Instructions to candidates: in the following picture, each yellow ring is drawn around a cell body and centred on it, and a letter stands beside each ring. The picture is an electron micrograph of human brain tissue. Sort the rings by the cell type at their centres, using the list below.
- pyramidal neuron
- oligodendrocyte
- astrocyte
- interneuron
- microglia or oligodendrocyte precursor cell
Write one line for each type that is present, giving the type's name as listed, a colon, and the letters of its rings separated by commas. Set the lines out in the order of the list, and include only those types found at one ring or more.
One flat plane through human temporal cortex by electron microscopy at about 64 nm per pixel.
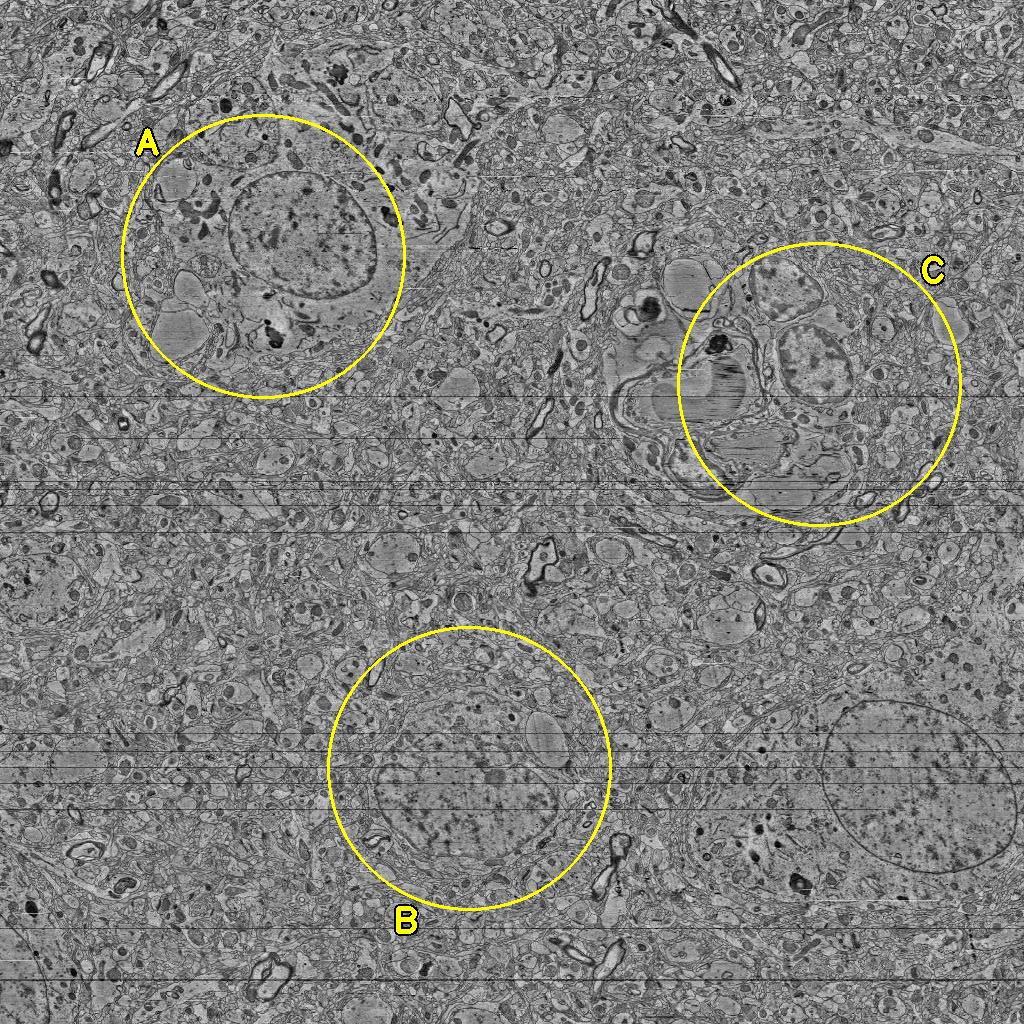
oligodendrocyte: C
astrocyte: A
interneuron: B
